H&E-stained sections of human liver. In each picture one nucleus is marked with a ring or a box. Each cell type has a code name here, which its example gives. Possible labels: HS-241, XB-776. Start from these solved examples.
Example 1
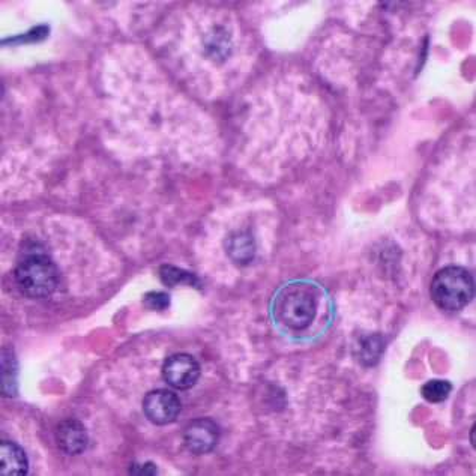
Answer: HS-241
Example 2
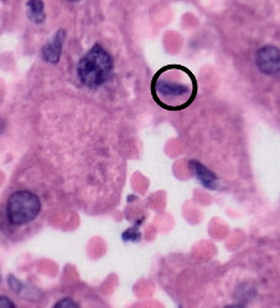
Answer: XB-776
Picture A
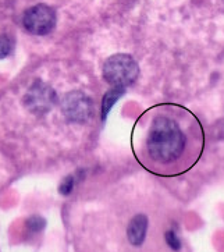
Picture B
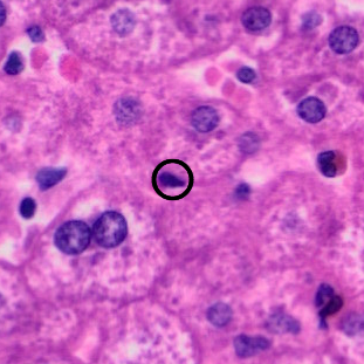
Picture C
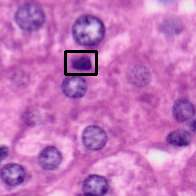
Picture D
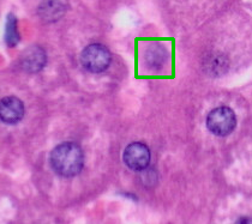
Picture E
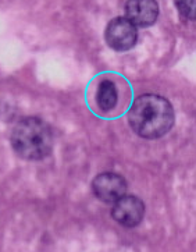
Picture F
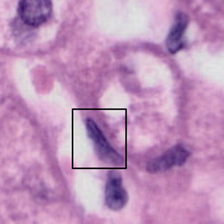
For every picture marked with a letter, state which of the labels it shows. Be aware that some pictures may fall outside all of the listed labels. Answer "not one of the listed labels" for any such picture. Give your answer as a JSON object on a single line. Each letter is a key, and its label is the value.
{"A": "HS-241", "B": "XB-776", "C": "XB-776", "D": "not one of the listed labels", "E": "XB-776", "F": "not one of the listed labels"}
